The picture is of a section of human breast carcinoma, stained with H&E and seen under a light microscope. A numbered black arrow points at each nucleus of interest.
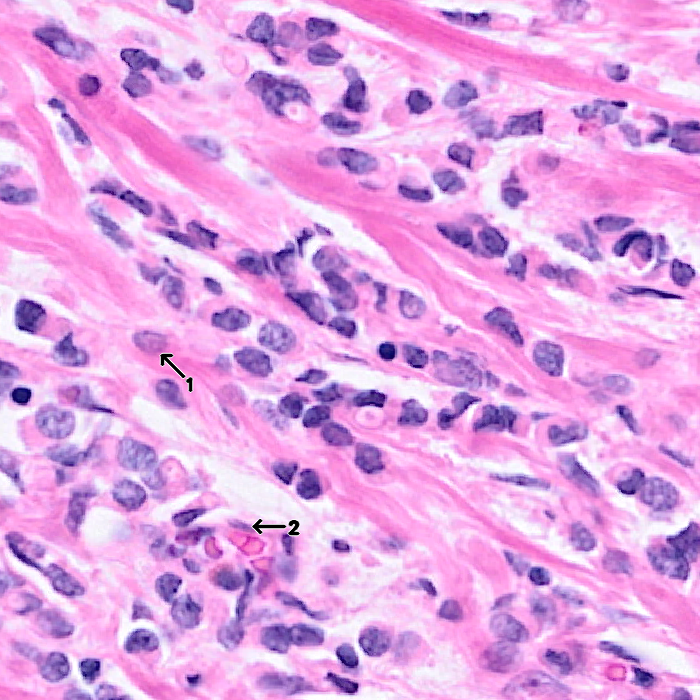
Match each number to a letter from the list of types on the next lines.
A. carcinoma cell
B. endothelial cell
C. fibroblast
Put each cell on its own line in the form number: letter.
1: A
2: B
